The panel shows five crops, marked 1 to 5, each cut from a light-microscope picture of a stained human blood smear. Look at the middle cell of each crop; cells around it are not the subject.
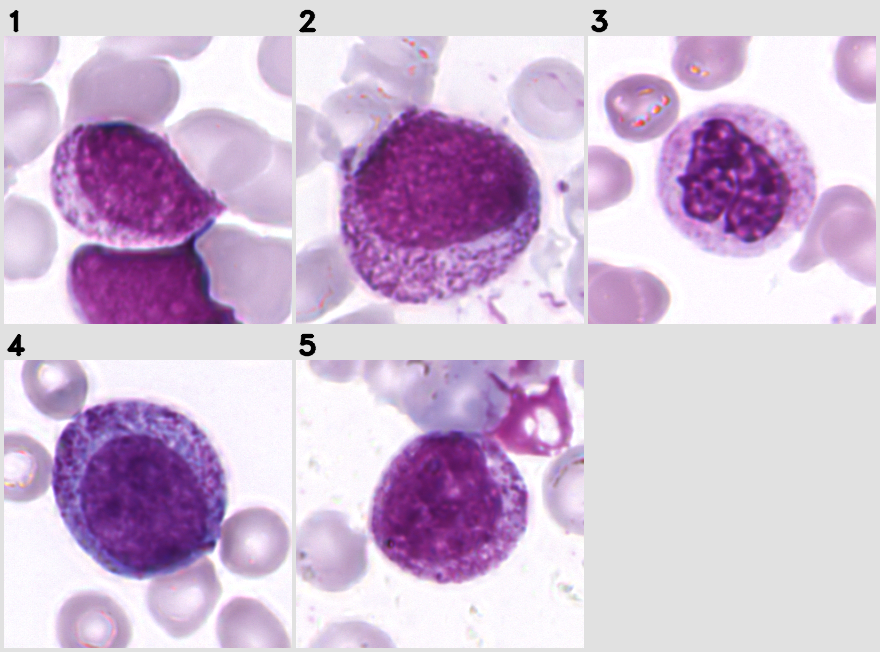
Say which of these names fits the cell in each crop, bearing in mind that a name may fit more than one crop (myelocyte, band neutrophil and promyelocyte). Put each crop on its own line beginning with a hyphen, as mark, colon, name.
- 1: myelocyte
- 2: promyelocyte
- 3: band neutrophil
- 4: promyelocyte
- 5: myelocyte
